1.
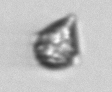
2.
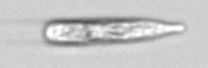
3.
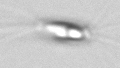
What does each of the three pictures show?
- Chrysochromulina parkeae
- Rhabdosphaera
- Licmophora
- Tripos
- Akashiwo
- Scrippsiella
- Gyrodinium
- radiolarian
1: Scrippsiella
2: Licmophora
3: Chrysochromulina parkeae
